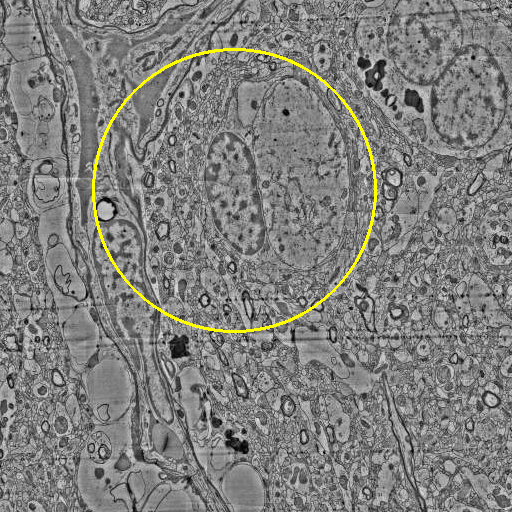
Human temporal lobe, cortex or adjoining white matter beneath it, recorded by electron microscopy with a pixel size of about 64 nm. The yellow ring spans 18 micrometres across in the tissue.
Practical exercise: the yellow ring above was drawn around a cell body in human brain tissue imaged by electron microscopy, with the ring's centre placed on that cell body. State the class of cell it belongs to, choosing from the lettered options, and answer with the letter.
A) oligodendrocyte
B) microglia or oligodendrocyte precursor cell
B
